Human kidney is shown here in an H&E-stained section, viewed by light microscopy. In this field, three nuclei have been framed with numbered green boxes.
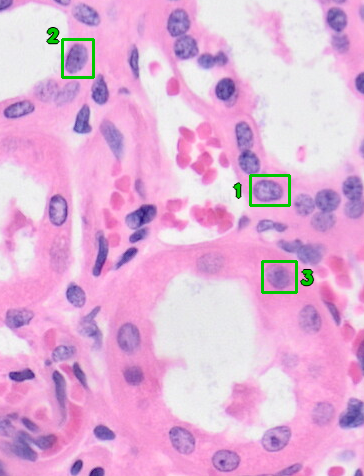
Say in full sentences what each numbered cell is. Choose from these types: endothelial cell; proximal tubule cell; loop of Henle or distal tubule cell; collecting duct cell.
Cells 1 and 2 are collecting duct cells. Cell 3 is a proximal tubule cell.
